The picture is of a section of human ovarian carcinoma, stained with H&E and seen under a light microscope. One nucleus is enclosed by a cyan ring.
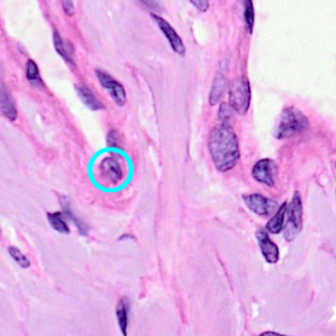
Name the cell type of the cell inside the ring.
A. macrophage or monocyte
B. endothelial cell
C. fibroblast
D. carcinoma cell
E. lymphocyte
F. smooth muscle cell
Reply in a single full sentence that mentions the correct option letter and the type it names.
The correct response is option B: the cell inside the ring is an endothelial cell.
